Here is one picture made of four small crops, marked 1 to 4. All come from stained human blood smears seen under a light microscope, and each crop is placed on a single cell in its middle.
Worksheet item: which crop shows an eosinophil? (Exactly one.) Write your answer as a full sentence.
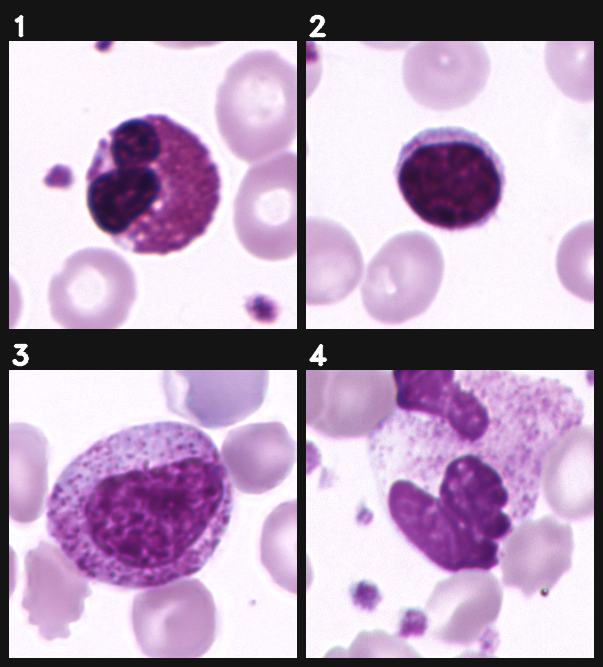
Crop 1 is where an eosinophil is to be found.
